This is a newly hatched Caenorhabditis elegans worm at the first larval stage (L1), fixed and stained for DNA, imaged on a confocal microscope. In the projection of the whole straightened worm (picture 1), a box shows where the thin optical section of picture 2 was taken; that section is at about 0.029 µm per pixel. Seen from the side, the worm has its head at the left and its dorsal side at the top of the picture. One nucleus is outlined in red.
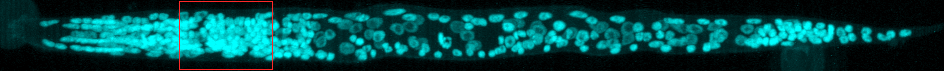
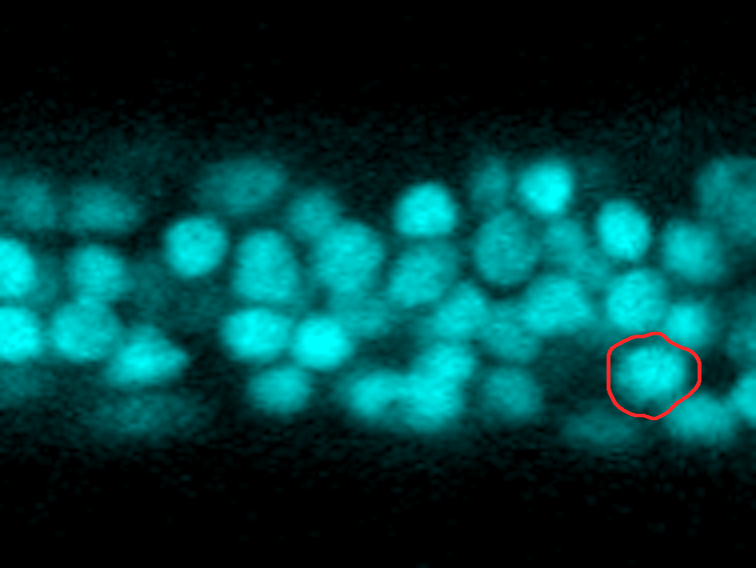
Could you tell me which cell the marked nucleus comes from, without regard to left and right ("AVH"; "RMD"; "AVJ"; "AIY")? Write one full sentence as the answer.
It belongs to AIY, a neuron.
